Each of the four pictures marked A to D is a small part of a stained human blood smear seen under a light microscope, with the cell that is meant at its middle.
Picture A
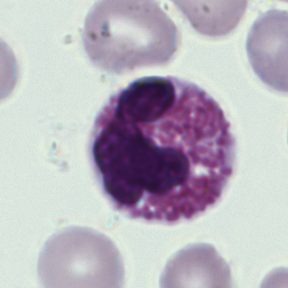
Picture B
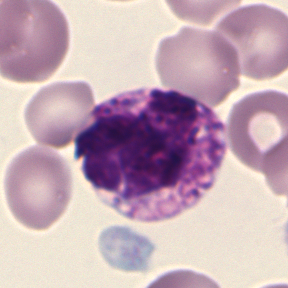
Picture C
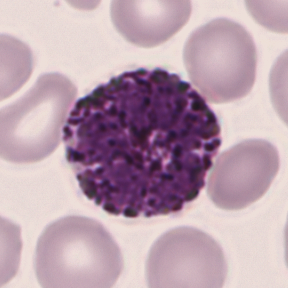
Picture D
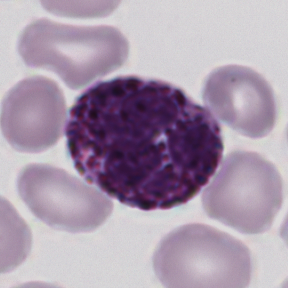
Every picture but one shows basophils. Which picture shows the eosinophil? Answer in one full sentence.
The cell in picture A is the eosinophil.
